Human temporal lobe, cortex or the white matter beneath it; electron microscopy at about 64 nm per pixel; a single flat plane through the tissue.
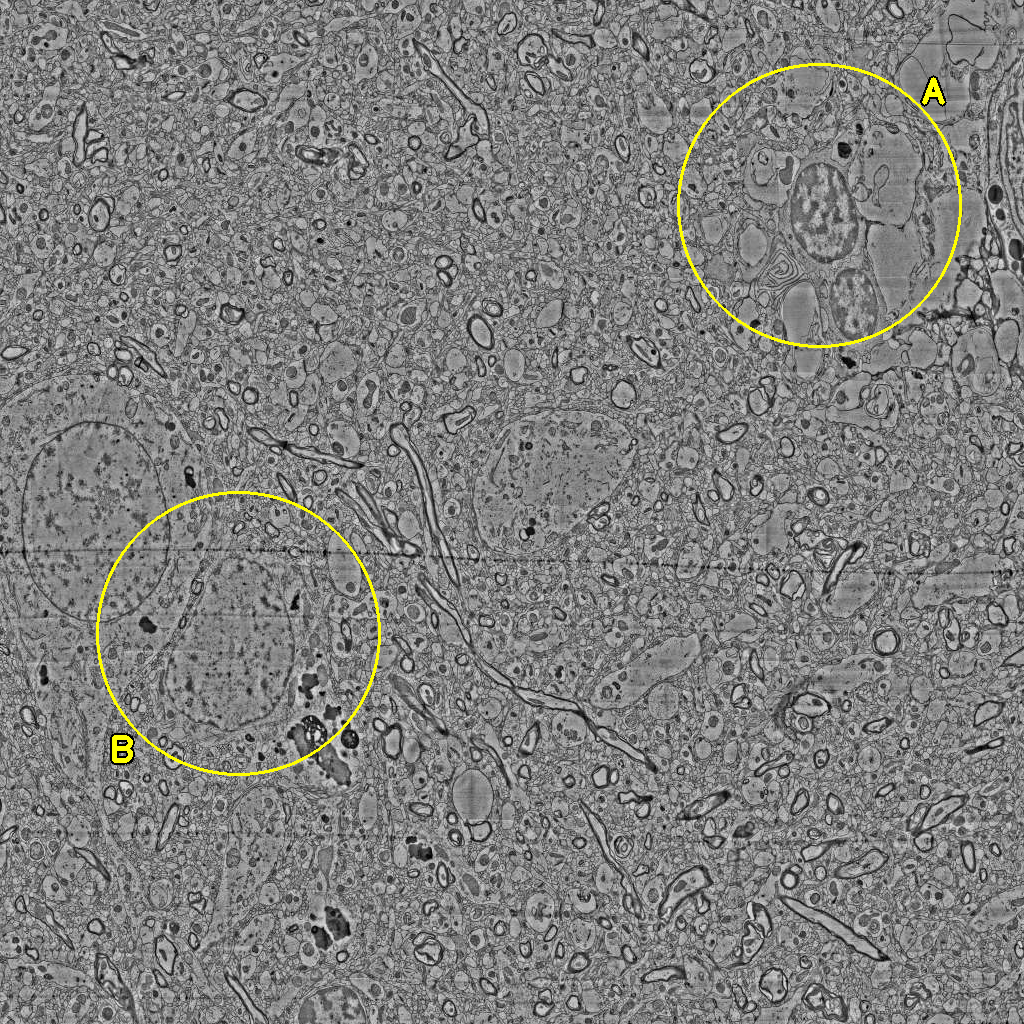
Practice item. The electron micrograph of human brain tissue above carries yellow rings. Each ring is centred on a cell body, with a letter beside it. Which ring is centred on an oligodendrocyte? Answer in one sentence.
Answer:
Ring A is centred on it.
